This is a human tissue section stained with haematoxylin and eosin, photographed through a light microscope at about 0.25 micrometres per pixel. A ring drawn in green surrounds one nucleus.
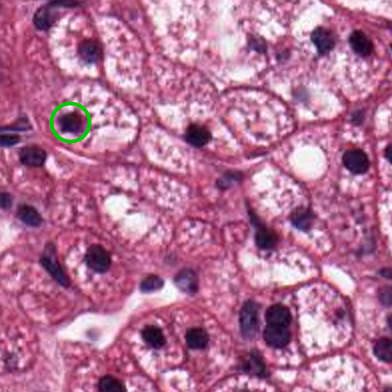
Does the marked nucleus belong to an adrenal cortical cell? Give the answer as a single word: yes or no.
yes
